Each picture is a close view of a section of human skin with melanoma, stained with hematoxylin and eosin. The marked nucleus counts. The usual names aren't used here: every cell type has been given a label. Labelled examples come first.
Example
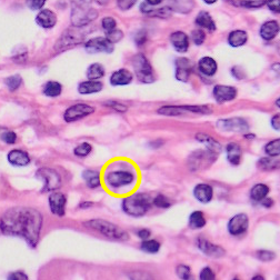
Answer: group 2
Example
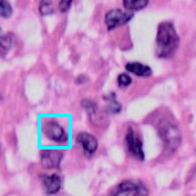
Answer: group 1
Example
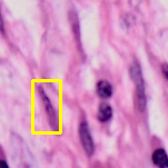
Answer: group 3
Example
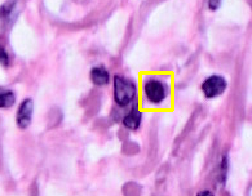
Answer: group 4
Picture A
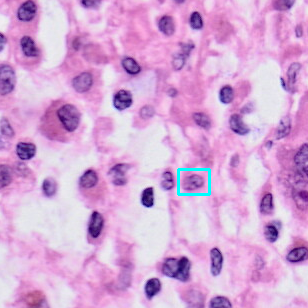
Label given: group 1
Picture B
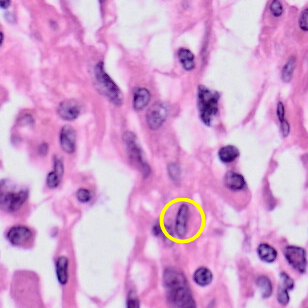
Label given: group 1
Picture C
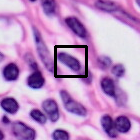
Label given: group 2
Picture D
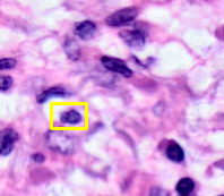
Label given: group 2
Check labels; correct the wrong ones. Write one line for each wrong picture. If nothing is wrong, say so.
All labels are correct.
